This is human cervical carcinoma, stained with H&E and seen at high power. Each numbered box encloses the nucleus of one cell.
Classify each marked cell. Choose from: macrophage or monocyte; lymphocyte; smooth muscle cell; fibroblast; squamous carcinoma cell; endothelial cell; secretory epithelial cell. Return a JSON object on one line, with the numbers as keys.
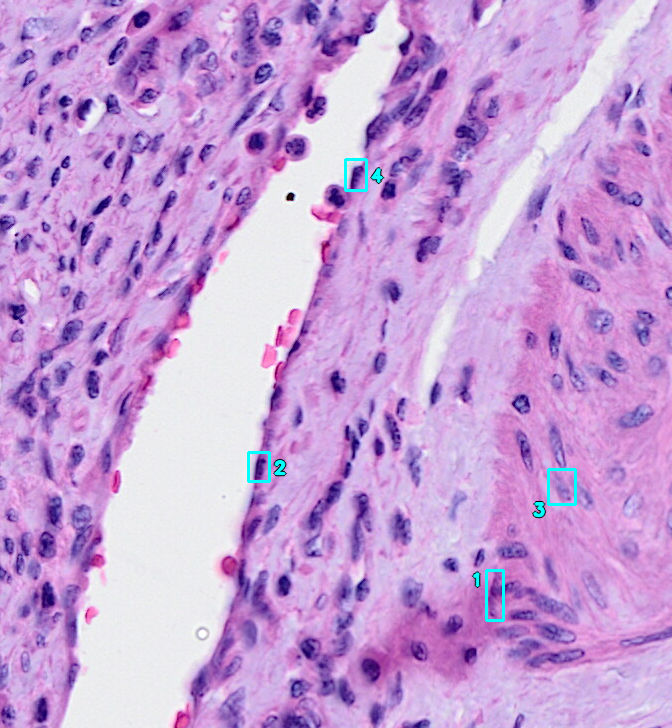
{"1": "smooth muscle cell", "2": "endothelial cell", "3": "smooth muscle cell", "4": "endothelial cell"}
